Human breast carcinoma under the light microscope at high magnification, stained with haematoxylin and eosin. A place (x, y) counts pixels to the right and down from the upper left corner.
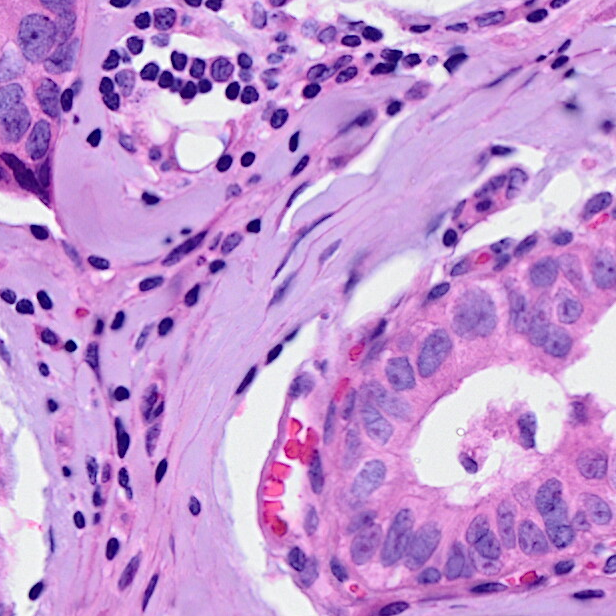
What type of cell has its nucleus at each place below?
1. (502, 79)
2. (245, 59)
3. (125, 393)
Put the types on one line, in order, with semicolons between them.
fibroblast; lymphocyte; lymphocyte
